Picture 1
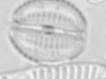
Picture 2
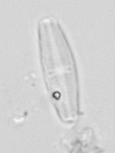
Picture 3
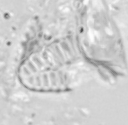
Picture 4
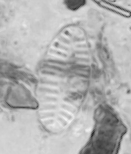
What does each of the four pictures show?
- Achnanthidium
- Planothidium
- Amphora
1: Amphora
2: Achnanthidium
3: Planothidium
4: Planothidium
